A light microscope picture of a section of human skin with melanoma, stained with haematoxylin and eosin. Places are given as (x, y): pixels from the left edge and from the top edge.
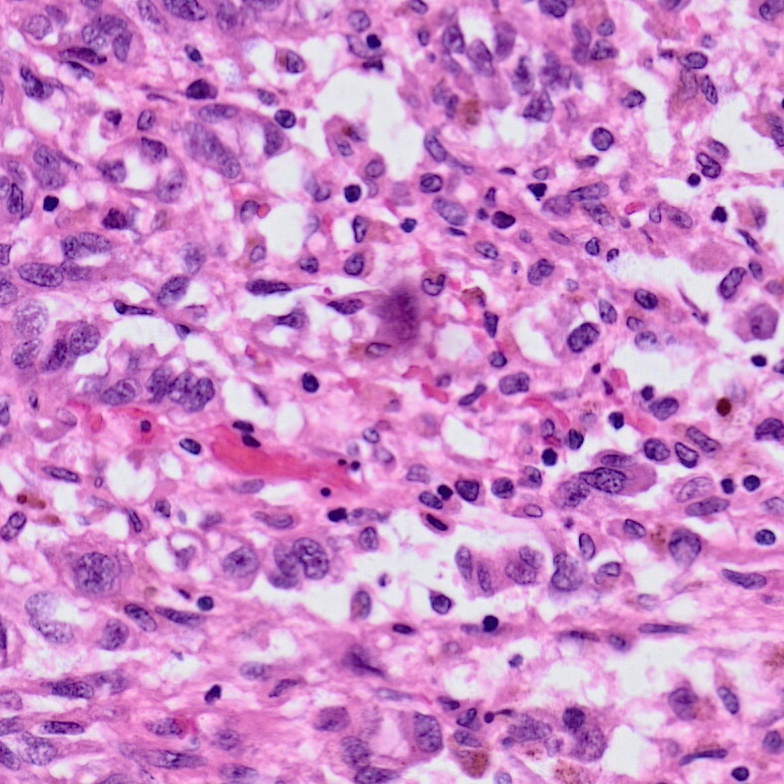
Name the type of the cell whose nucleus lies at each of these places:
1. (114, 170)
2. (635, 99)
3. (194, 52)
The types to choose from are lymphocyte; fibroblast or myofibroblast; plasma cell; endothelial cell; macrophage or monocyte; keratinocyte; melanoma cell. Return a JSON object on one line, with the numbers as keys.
{"1": "melanoma cell", "2": "macrophage or monocyte", "3": "lymphocyte"}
